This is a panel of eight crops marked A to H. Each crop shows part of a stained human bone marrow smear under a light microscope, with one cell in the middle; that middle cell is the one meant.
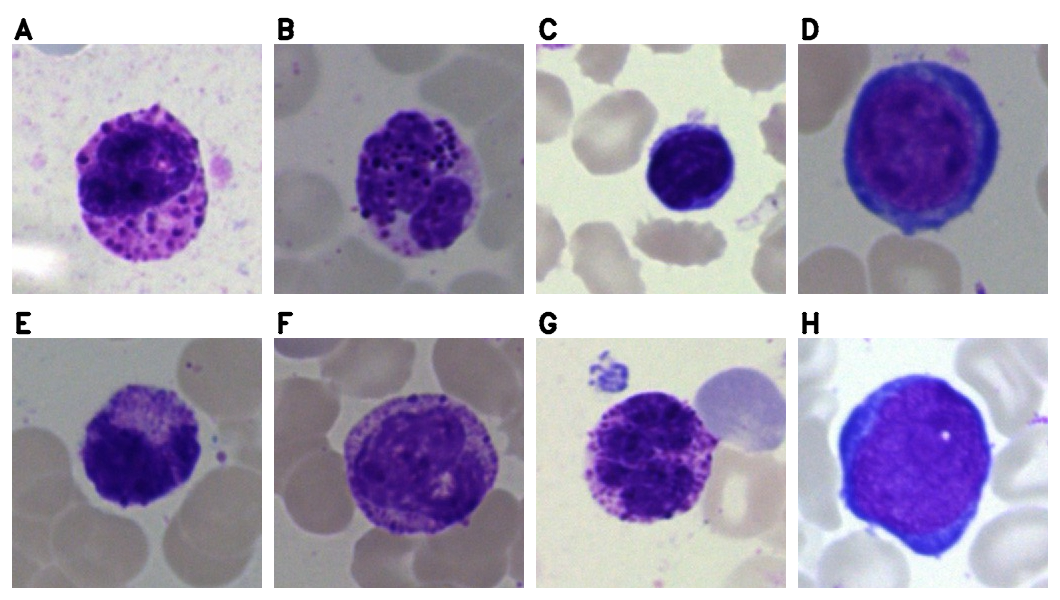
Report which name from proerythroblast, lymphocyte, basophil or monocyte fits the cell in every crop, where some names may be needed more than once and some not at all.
A: basophil
B: basophil
C: lymphocyte
D: proerythroblast
E: basophil
F: basophil
G: basophil
H: proerythroblast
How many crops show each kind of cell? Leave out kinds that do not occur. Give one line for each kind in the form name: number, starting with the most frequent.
basophil: 5
proerythroblast: 2
lymphocyte: 1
